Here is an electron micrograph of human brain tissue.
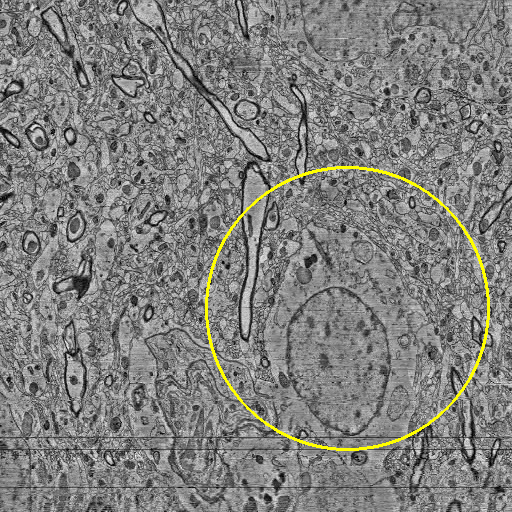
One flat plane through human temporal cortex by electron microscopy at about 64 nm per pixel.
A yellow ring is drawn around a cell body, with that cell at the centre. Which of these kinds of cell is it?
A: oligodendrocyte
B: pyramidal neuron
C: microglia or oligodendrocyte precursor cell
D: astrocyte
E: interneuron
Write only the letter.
D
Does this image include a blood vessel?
Yes, there is a blood vessel.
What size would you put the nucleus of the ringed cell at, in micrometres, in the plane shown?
About 10 by 7 micrometers; the nucleus is clearly longer than it is wide in this plane.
